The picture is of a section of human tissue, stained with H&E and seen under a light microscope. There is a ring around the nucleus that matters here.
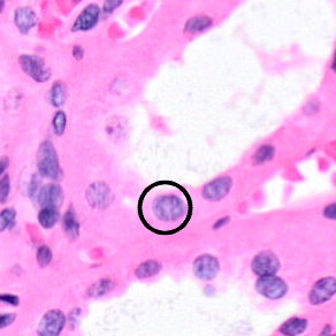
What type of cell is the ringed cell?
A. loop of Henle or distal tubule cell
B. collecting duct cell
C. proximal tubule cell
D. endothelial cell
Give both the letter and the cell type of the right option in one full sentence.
As stated in option A, the ringed cell is a loop of Henle or distal tubule cell.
